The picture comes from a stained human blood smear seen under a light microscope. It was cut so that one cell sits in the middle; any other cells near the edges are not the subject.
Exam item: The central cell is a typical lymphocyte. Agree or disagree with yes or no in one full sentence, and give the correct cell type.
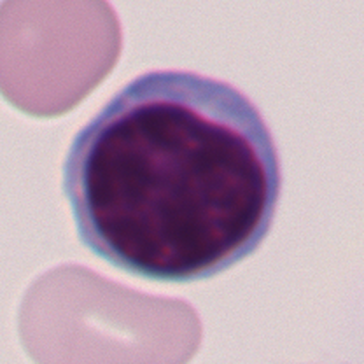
Yes, the cell at the centre of this crop is identified as a typical lymphocyte.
